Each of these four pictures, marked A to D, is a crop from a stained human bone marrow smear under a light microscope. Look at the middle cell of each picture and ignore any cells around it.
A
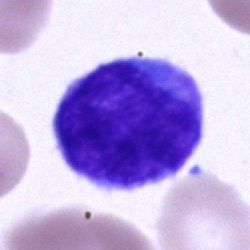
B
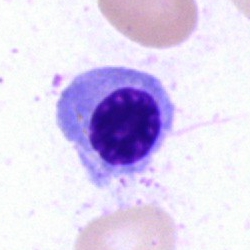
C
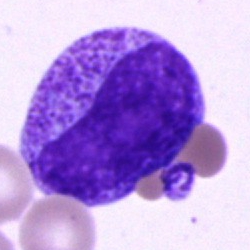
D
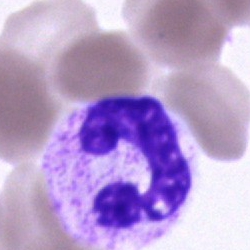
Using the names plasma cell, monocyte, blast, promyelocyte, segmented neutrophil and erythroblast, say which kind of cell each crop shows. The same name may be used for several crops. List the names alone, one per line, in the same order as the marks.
blast
erythroblast
promyelocyte
segmented neutrophil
